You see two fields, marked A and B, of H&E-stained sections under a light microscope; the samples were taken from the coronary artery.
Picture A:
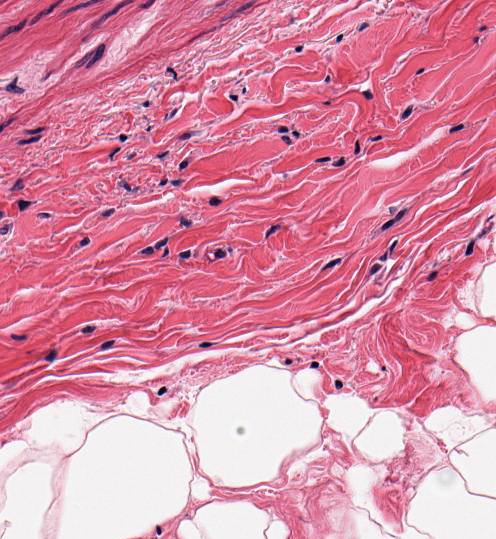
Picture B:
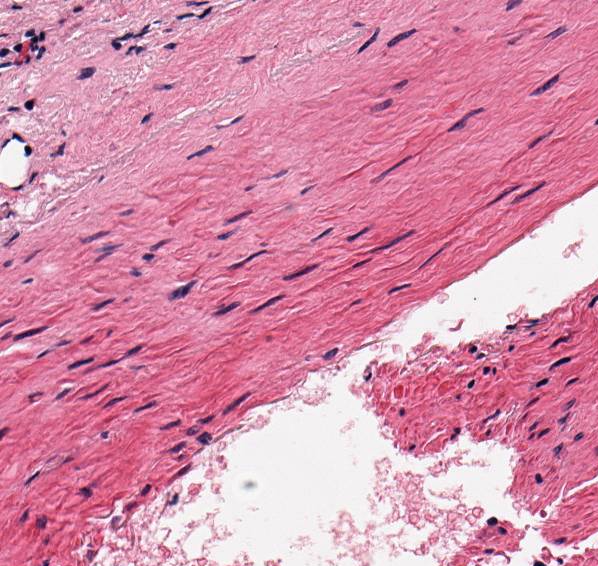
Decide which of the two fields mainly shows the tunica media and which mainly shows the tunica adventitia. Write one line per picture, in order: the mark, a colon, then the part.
A: tunica adventitia
B: tunica media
